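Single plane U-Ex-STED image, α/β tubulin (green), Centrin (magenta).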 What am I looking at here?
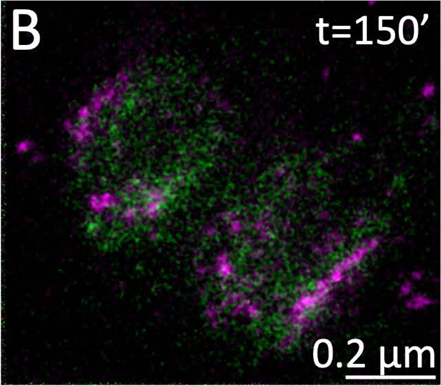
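Green signal is diffuse and speckled throughout each cluster. Magenta signal forms scattered patches and short arcs along the cluster edges. The outlines are irregular and less defined than those of intact barrels.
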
